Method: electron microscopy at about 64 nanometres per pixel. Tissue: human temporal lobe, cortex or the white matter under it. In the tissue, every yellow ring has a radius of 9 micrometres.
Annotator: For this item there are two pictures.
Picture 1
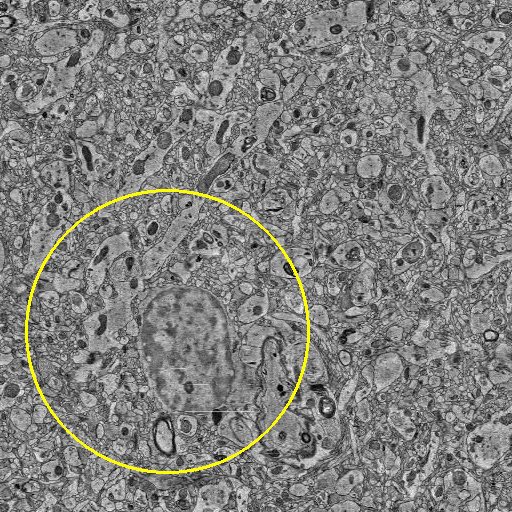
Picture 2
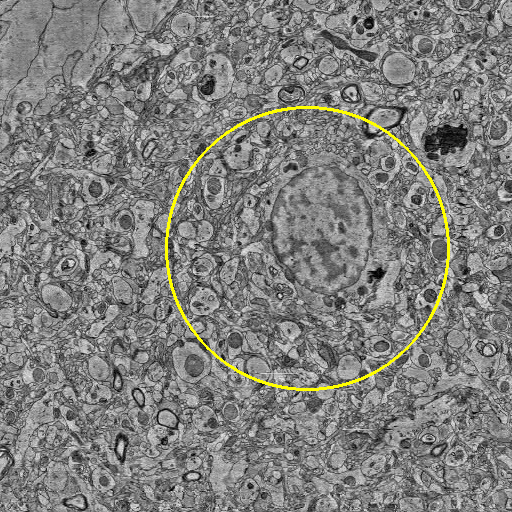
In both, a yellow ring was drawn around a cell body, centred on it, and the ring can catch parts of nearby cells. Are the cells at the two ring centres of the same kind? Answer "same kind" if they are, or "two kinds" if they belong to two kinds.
same kind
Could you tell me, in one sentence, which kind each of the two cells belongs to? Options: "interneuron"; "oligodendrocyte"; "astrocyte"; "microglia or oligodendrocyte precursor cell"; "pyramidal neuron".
In both pictures the ring is centred on an oligodendrocyte.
